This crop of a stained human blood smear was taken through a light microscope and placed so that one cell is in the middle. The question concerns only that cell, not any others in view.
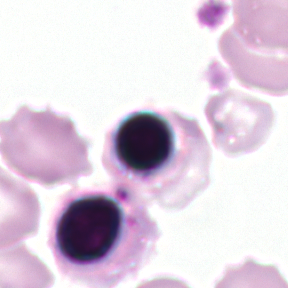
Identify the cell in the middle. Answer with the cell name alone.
normoblast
